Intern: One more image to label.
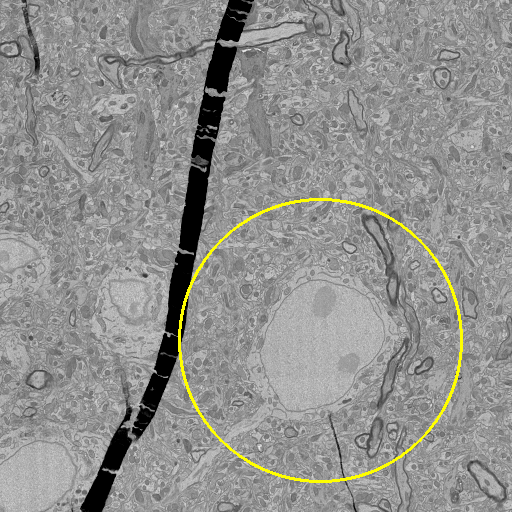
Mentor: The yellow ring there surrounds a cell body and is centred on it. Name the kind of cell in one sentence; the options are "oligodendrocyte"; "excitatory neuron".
The ring marks the cell body of an excitatory neuron.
